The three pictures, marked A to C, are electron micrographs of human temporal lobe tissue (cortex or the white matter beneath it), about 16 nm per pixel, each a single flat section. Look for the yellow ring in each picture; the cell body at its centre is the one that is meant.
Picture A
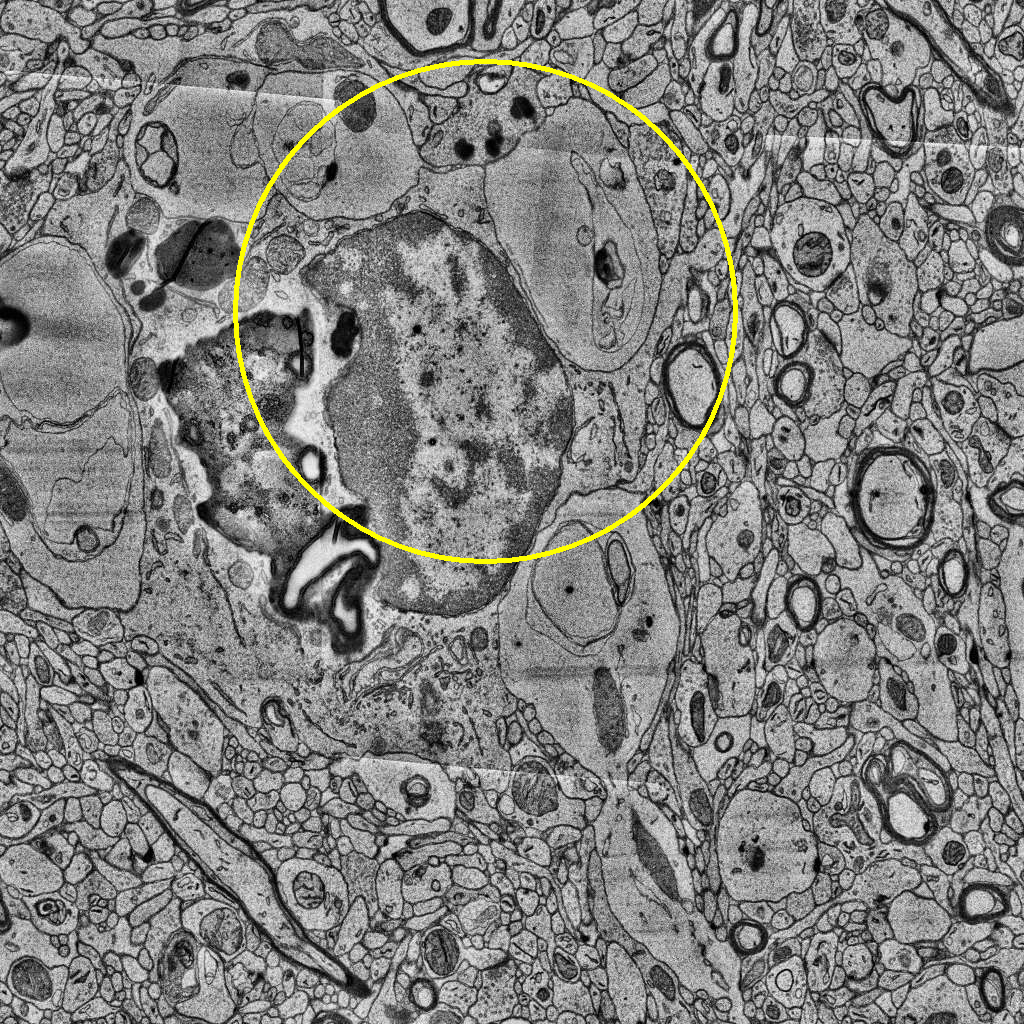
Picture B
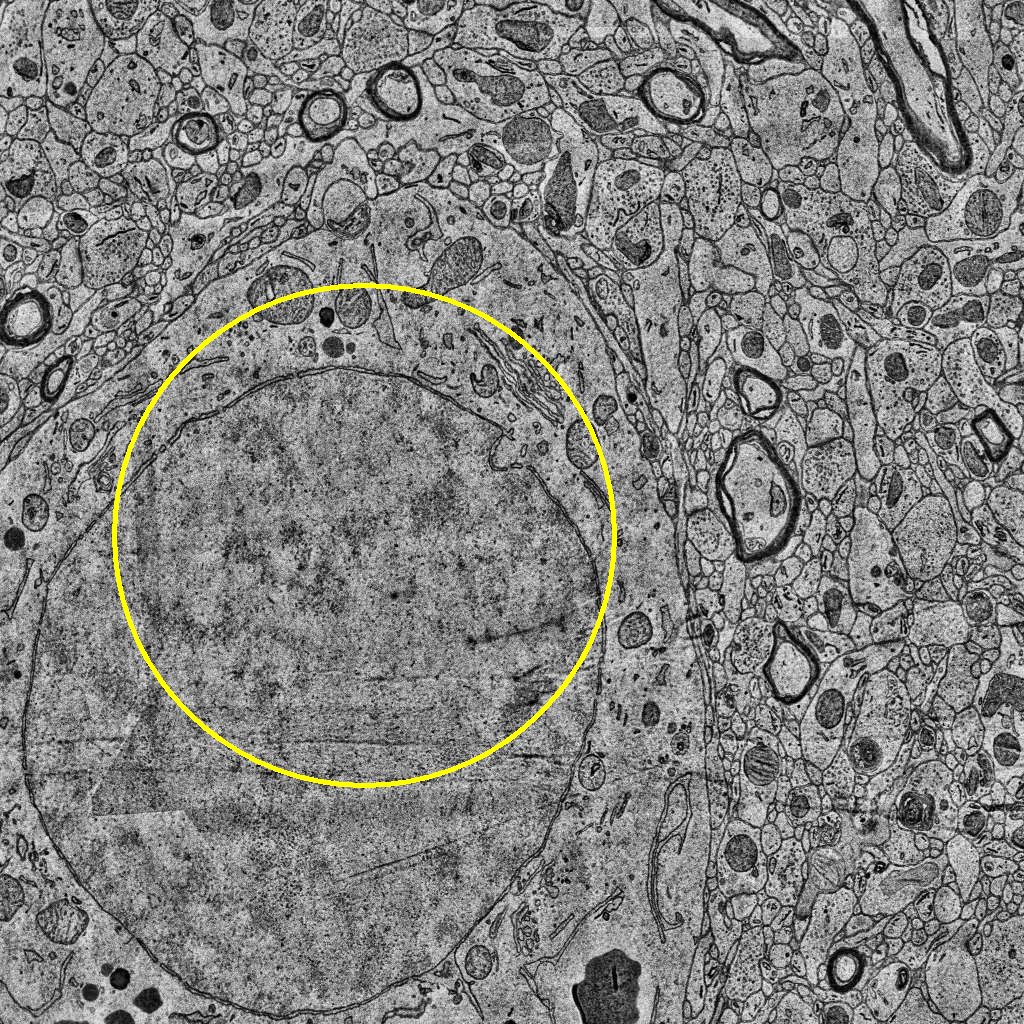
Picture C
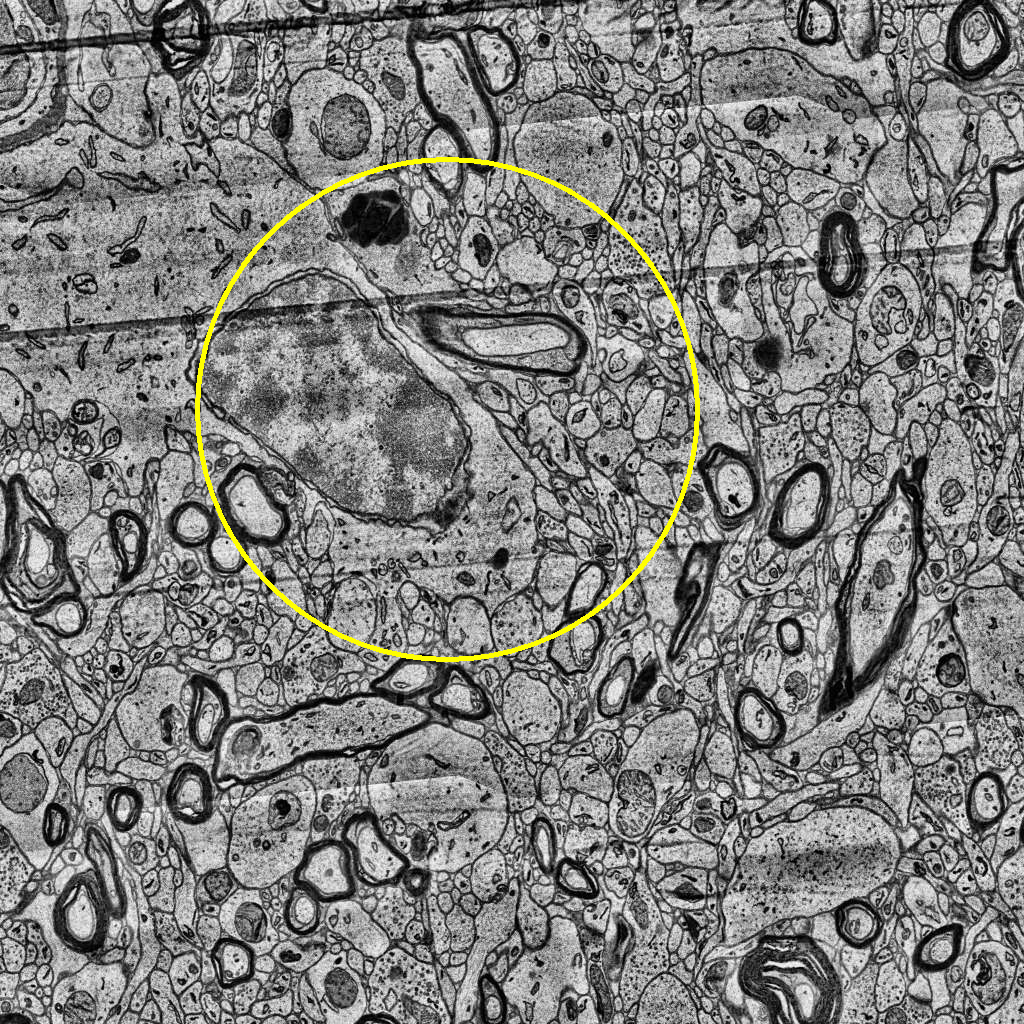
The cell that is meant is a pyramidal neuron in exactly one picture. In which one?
Picture B is the one that shows the pyramidal neuron.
